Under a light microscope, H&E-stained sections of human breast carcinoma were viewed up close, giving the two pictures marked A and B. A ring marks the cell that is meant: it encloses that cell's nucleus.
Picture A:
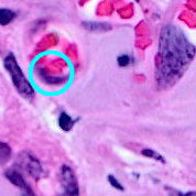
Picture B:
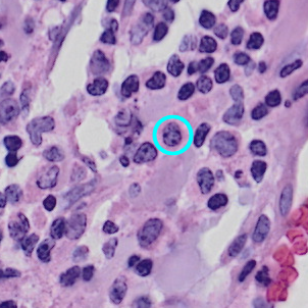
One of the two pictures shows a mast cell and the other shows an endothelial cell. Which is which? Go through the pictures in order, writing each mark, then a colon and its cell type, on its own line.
A: endothelial cell
B: mast cell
